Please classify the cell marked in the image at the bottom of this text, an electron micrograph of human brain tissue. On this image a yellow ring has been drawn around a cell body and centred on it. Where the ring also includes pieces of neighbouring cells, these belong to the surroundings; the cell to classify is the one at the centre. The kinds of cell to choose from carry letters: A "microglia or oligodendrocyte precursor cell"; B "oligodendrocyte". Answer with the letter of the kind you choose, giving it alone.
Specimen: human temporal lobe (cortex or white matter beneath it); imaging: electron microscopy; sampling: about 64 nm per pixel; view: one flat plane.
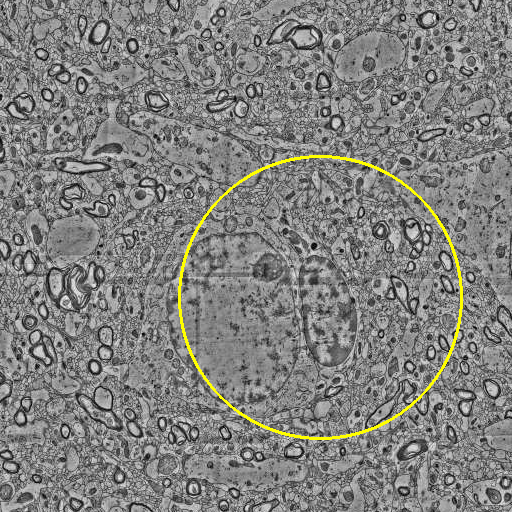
A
